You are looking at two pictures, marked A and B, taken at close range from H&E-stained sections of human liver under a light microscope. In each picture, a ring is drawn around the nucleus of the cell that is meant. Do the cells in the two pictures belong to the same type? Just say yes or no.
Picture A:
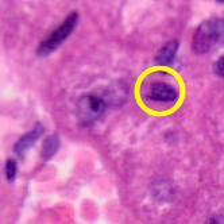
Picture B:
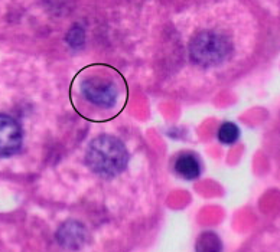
no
